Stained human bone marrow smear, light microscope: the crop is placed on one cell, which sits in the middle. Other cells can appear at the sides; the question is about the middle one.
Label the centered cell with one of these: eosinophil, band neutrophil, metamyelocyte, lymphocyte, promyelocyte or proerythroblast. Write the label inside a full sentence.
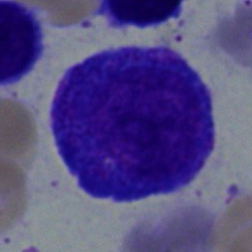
Centrally within this crop lies a promyelocyte.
